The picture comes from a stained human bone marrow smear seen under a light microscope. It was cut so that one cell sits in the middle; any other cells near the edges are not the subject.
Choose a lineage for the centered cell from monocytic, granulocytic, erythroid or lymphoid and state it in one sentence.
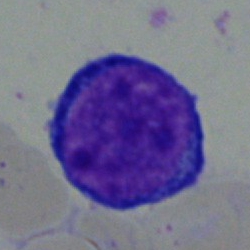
To the erythroid lineage belongs the cell in the middle of the crop.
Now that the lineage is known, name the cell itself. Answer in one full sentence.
For this crop, the central cell is a proerythroblast.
